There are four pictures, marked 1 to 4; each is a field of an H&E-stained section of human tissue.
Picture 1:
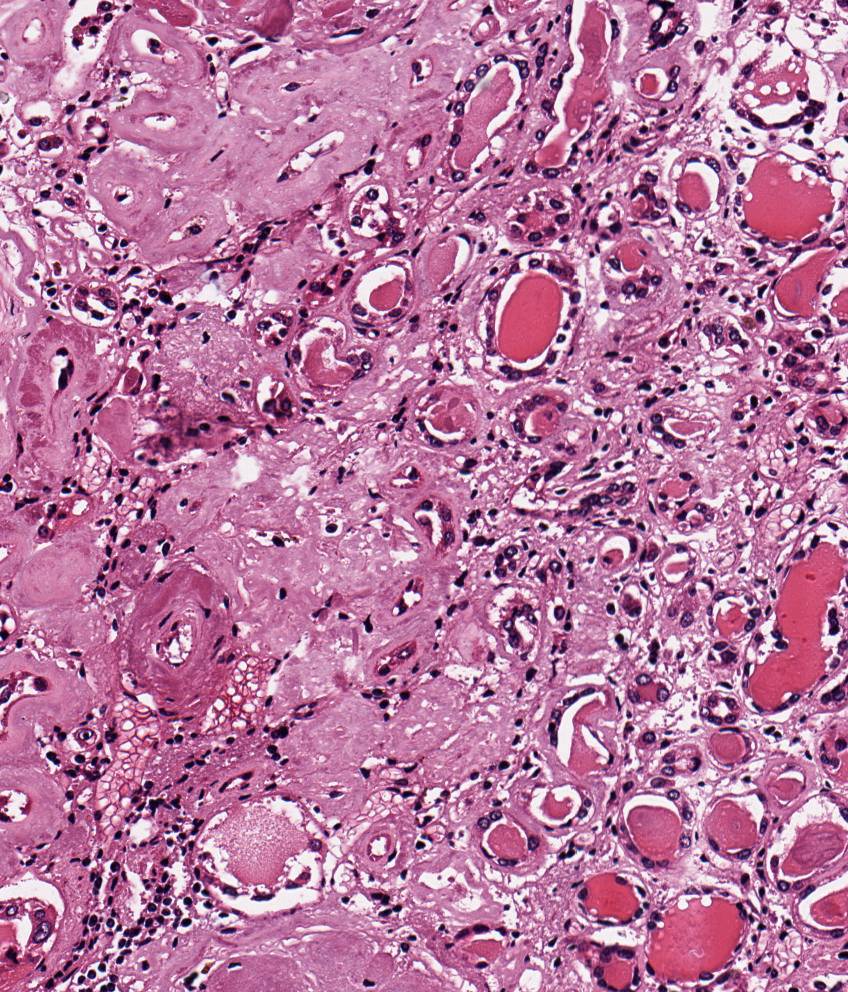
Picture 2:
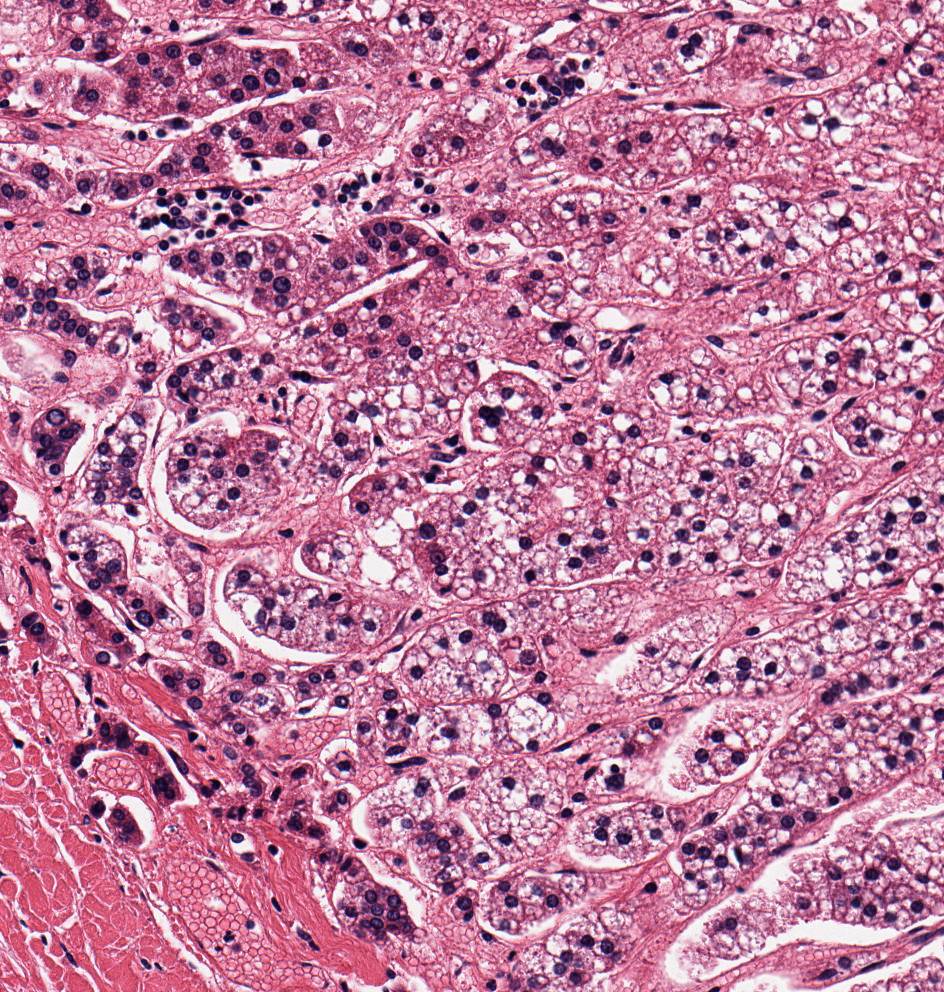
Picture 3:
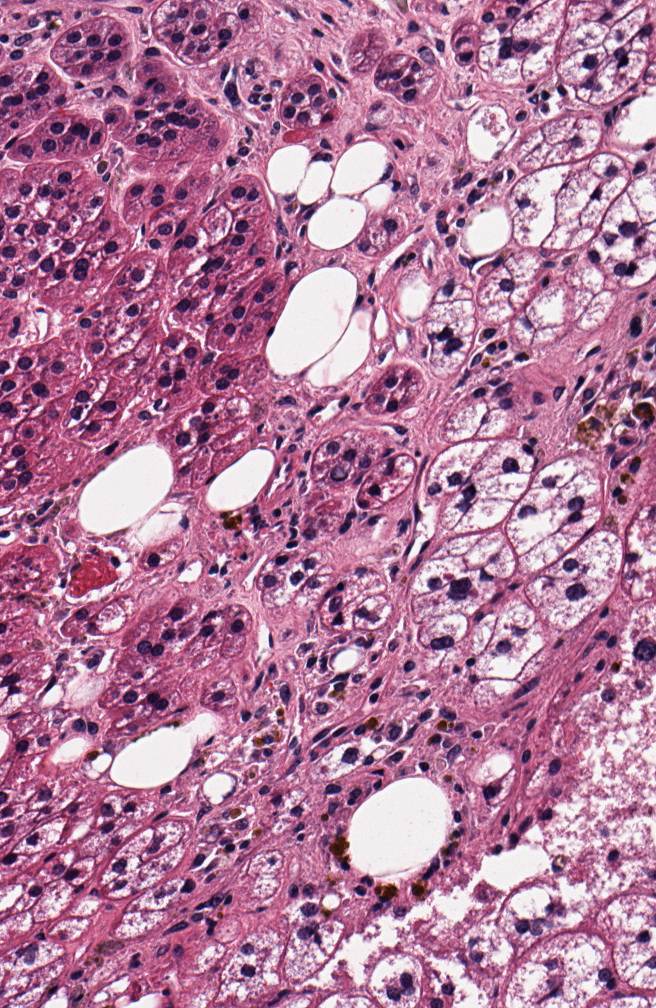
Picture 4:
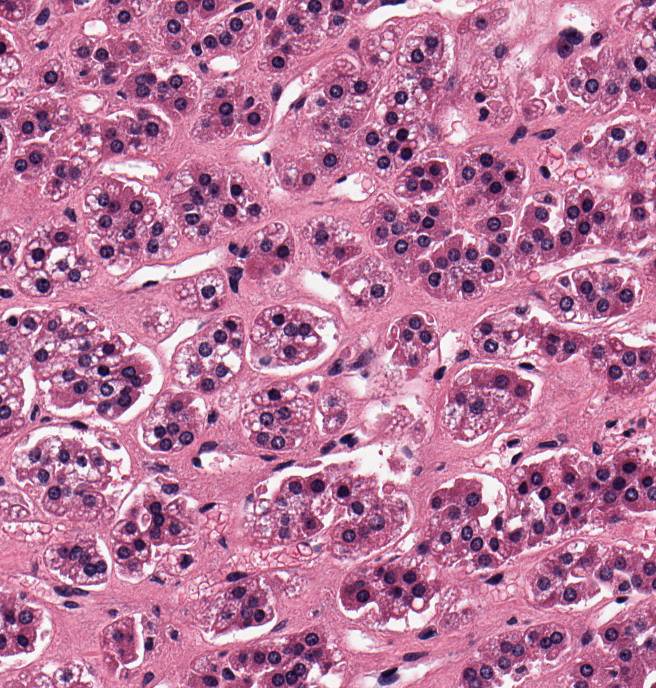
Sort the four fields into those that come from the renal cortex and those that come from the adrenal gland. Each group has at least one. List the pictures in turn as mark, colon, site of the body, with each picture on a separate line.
1: renal cortex
2: adrenal gland
3: adrenal gland
4: adrenal gland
